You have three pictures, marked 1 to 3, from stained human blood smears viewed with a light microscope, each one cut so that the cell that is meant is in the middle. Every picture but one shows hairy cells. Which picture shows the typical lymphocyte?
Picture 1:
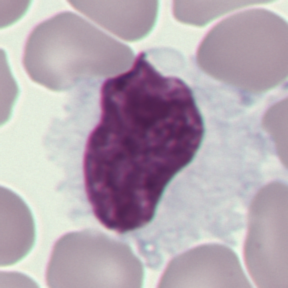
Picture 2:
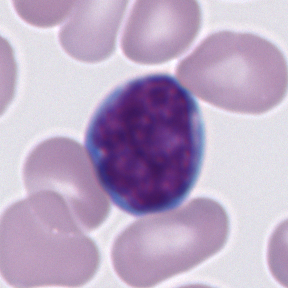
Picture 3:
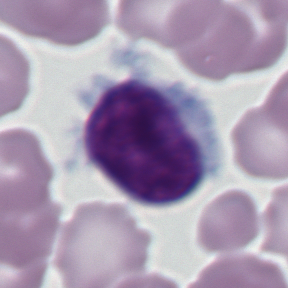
2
